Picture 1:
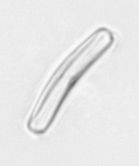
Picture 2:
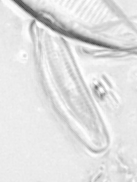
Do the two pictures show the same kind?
Yes, both are Achnanthidium.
